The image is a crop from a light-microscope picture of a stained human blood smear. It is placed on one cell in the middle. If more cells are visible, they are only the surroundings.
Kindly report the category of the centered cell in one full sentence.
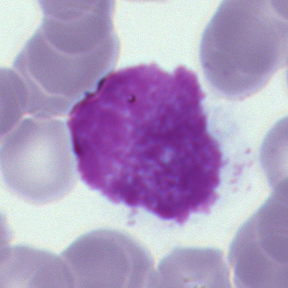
This crop has a smudge cell at its centre.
